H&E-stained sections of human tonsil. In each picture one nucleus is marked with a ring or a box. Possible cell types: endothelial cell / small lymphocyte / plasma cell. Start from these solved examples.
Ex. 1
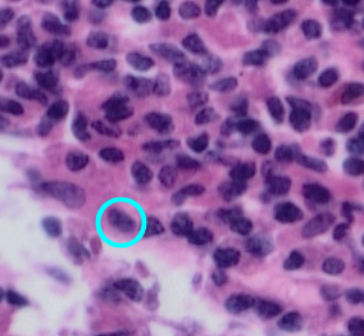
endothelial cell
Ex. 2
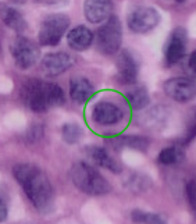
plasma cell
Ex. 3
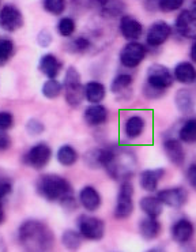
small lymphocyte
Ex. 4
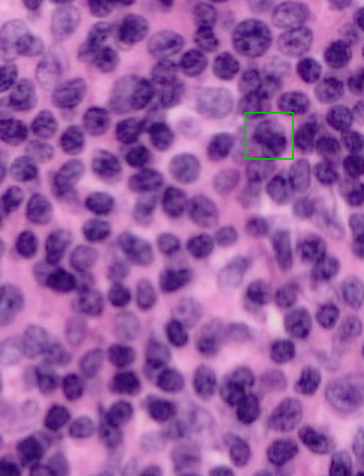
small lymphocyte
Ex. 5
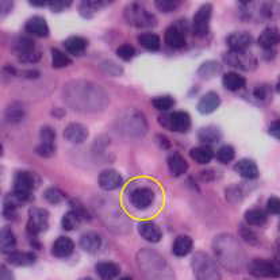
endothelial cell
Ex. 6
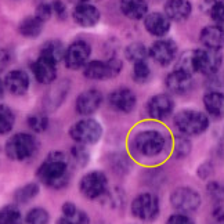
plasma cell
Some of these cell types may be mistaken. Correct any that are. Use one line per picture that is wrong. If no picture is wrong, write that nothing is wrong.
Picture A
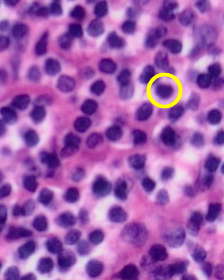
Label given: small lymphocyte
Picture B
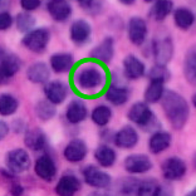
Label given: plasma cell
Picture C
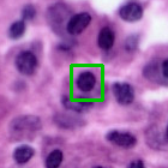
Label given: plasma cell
B is labelled plasma cell; correct label: small lymphocyte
